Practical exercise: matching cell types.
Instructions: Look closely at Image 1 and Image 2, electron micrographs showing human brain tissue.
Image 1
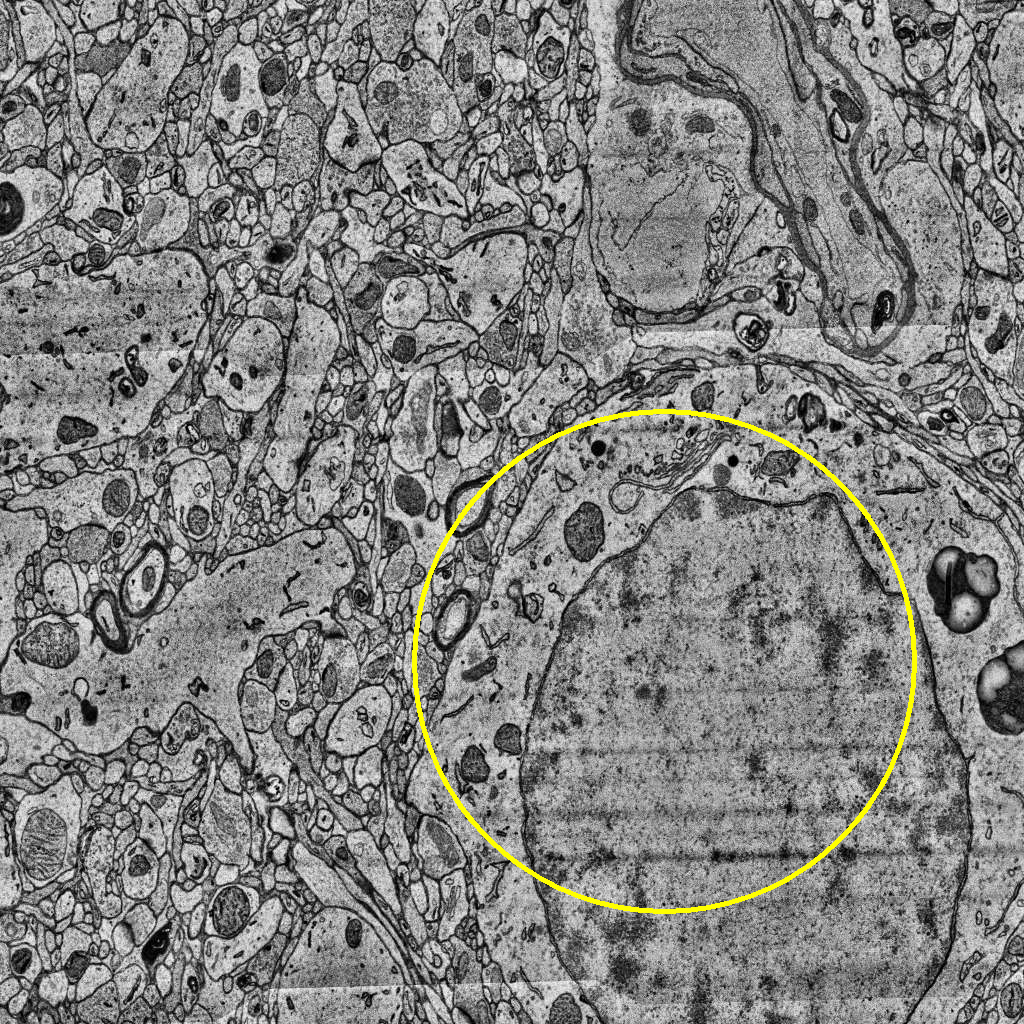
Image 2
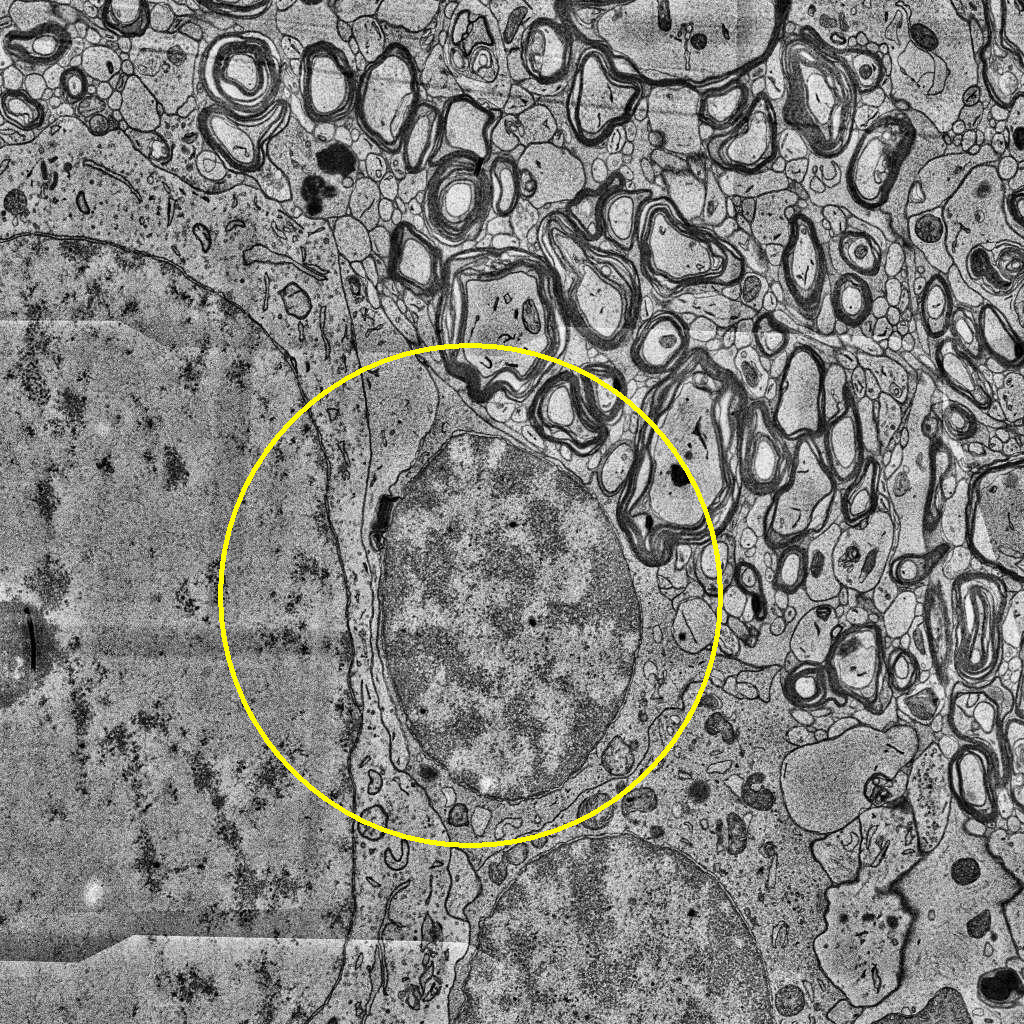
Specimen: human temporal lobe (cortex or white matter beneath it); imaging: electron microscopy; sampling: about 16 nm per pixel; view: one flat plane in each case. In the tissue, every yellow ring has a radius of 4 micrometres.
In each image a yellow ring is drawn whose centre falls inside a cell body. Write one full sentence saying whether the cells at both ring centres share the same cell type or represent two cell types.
Across Image 1 and Image 2, the cells at the ring centres represent two cell types.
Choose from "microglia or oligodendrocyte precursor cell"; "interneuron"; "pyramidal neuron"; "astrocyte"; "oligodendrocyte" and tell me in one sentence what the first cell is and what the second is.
The first ring encloses a pyramidal neuron; the second ring encloses an oligodendrocyte.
